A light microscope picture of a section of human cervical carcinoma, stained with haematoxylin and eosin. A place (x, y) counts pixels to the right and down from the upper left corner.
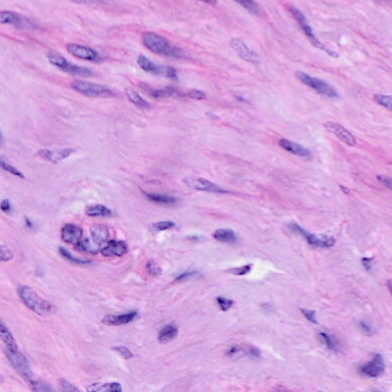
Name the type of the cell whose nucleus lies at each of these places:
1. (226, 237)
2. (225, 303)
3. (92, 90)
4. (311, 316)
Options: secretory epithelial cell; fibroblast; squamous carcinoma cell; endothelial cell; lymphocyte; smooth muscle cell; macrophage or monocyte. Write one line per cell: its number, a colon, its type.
1: fibroblast
2: fibroblast
3: smooth muscle cell
4: fibroblast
